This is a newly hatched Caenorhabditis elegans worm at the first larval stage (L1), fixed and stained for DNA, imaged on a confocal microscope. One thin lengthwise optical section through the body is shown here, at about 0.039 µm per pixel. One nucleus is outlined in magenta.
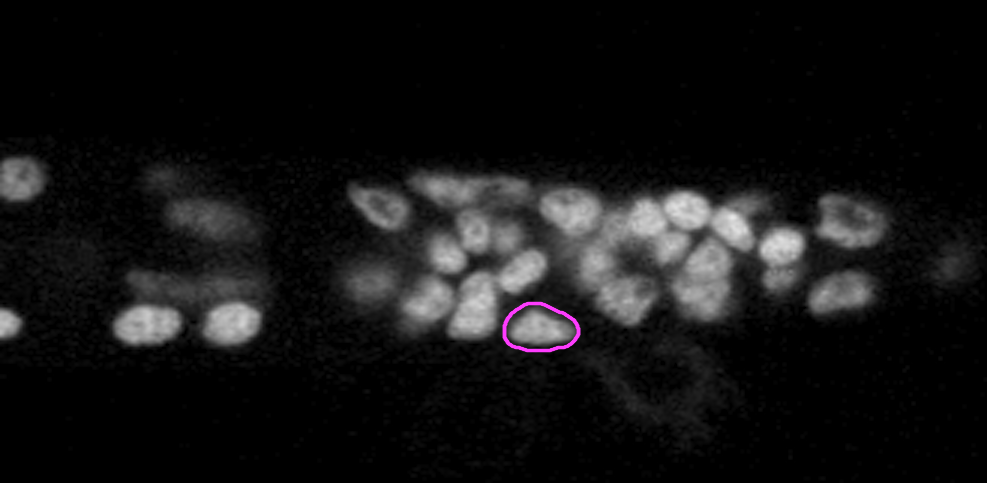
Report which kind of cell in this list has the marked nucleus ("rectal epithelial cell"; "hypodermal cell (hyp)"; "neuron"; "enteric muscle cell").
rectal epithelial cell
